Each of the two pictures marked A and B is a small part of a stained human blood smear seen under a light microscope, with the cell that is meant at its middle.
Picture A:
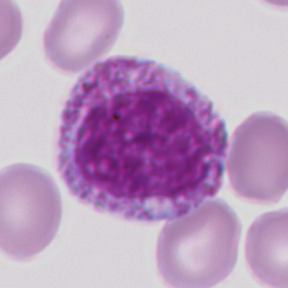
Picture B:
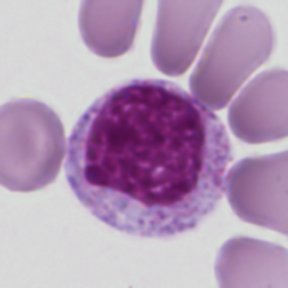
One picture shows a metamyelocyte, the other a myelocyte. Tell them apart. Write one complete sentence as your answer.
In picture A the cell is a myelocyte; in picture B, a metamyelocyte.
